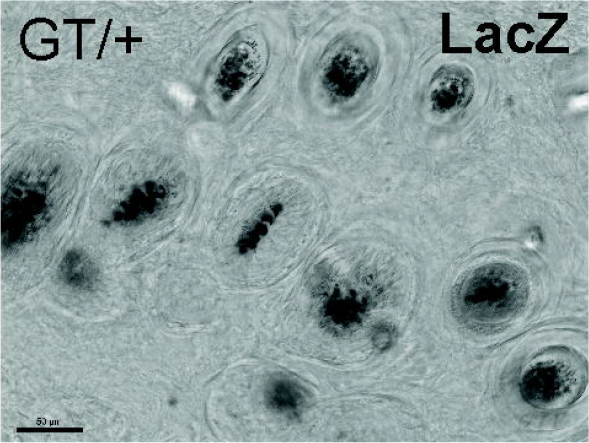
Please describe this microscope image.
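Hairy skin in section with many hair follicles cut across, each a round to oval profile of concentric cell layers around a central core. Dark grey-black granular deposits fill the centre of most follicles, some elongated, some smaller and fainter. The dermis between the follicles is pale and fibrous and carries no dark deposits.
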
